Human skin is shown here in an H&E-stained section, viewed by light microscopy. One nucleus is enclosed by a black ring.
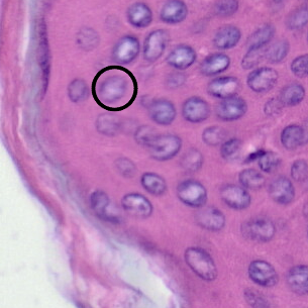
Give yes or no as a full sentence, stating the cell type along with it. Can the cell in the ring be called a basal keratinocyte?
No, a suprabasal keratinocyte is what the cell in the ring is, not a basal keratinocyte.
